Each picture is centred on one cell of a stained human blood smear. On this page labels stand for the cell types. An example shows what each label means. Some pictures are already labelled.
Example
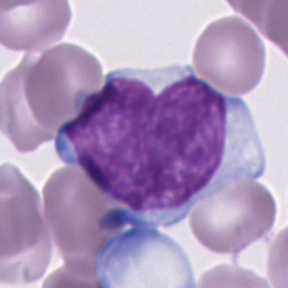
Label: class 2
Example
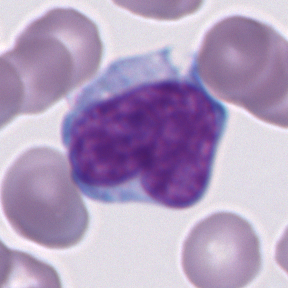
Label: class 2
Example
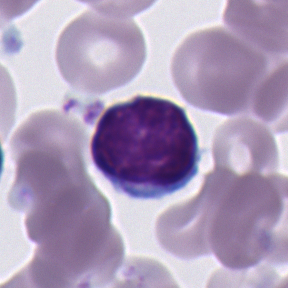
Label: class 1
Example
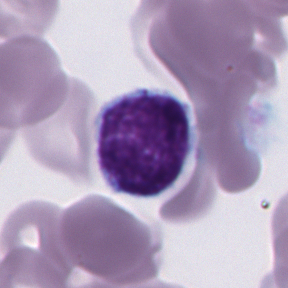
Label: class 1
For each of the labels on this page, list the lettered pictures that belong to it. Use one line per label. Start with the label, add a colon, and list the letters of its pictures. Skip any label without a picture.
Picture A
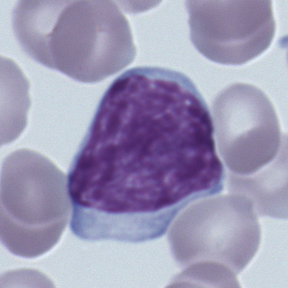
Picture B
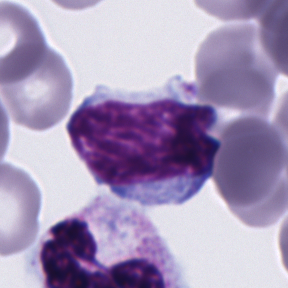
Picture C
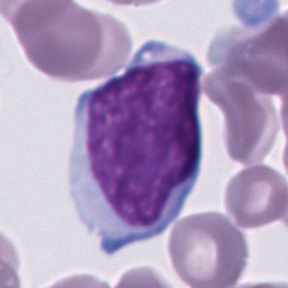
class 2: A, C
class 1: B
